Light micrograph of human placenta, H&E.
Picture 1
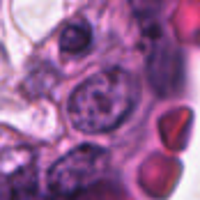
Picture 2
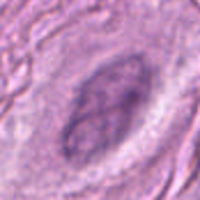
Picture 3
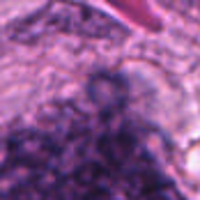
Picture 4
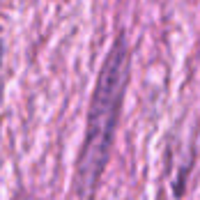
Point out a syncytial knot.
That is picture 3.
